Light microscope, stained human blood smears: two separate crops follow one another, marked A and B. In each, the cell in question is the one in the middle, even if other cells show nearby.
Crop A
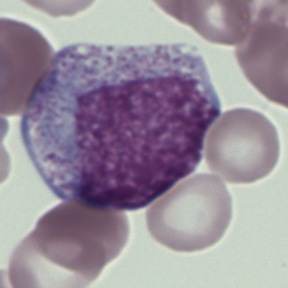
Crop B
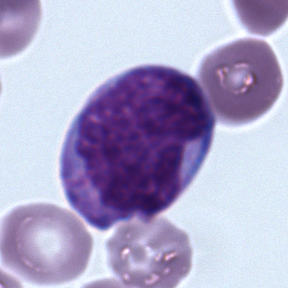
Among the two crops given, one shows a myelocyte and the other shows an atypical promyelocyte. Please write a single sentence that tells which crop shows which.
The cell centred in crop A is a myelocyte, and the one centred in crop B is an atypical promyelocyte.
